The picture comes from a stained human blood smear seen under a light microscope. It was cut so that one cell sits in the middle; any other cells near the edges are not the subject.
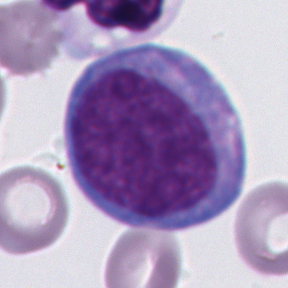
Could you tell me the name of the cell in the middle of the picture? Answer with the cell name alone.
promyelocyte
